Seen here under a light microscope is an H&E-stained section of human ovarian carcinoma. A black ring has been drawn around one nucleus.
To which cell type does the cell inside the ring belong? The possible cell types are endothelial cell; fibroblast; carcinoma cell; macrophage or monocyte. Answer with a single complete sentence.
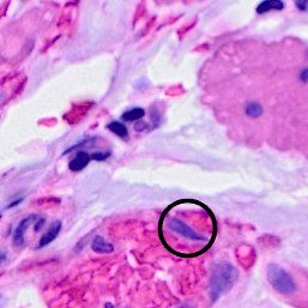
Cell type answer for this item: the cell inside the ring is an endothelial cell.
